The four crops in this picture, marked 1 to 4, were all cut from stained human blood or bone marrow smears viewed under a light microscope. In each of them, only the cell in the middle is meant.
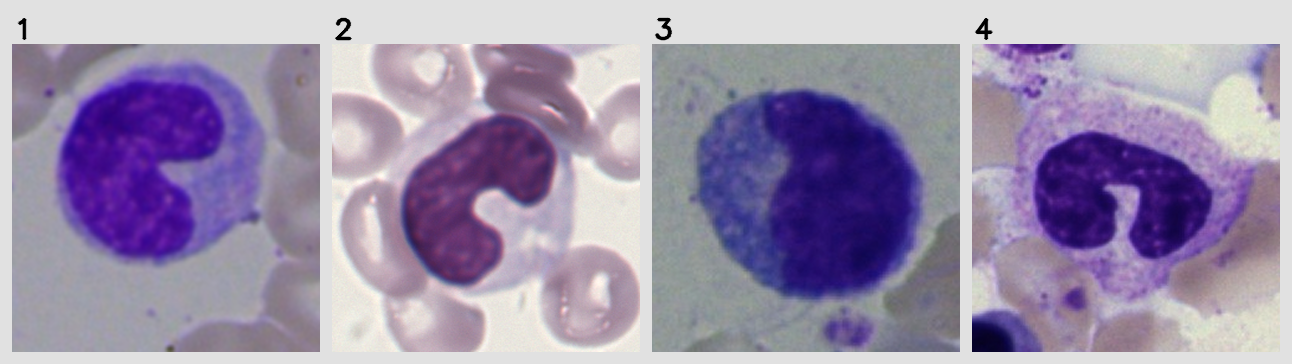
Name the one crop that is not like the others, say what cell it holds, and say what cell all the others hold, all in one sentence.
For this set, crop 3 is a monocyte, and all the rest are band neutrophils.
